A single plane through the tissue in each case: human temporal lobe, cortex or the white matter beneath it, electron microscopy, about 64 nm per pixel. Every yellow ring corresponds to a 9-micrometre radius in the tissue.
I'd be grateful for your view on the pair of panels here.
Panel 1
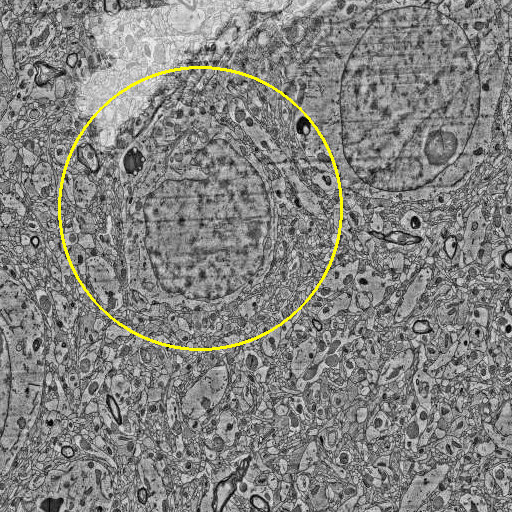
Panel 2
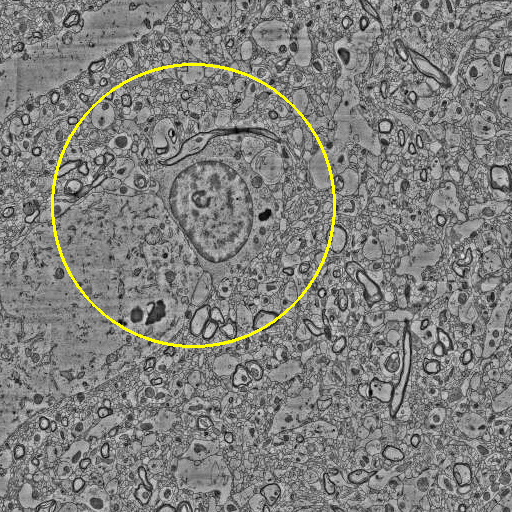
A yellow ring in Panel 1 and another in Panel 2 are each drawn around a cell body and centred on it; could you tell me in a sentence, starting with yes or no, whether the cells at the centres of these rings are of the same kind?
No, they are two kinds of cell.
